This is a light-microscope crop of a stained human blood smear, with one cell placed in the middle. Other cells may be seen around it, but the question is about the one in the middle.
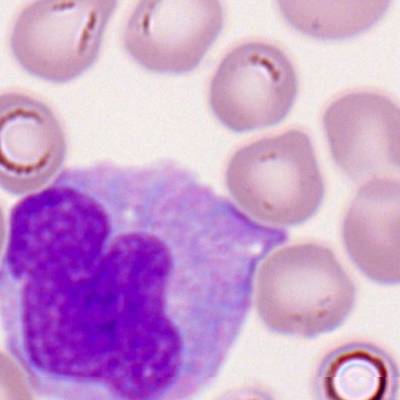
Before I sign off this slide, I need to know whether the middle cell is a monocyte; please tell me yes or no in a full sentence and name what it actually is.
Yes, the cell at the centre is designated a monocyte.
